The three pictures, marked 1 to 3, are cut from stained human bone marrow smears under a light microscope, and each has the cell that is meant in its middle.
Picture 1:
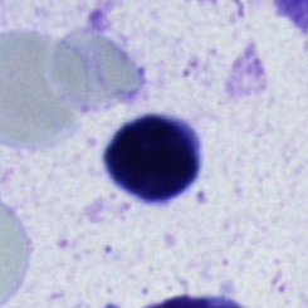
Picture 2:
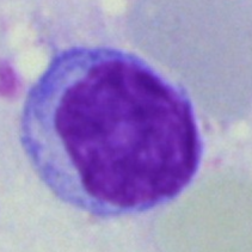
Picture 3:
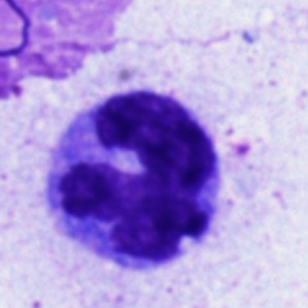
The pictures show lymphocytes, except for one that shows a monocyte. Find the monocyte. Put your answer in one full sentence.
It is picture 3 that shows the monocyte.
